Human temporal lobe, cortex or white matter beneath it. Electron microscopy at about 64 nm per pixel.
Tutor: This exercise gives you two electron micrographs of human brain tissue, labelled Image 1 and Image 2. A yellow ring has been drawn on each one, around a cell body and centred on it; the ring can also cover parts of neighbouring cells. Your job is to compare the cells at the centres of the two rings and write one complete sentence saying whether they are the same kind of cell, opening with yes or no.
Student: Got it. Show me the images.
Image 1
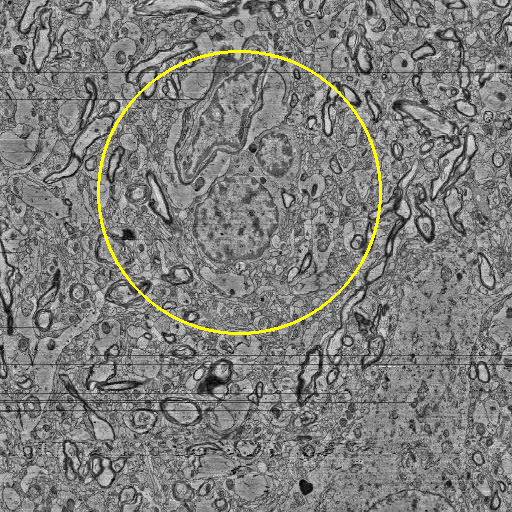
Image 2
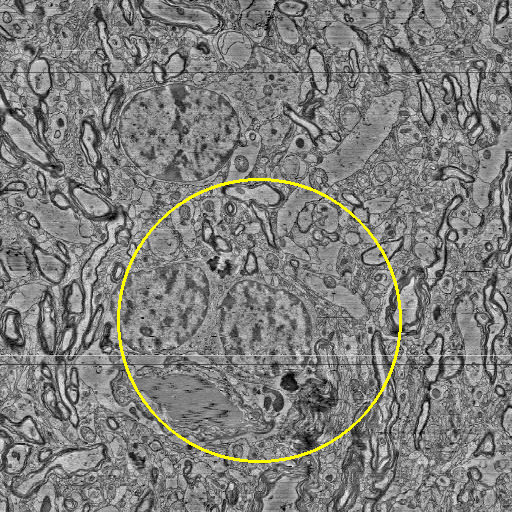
Yes, the two cells belong to the same kind.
